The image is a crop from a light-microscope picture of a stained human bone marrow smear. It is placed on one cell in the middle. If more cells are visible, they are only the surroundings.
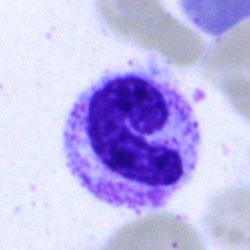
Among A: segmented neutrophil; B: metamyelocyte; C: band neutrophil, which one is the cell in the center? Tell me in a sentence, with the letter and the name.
It is a band neutrophil that occupies the centre of the crop, so option C is correct.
